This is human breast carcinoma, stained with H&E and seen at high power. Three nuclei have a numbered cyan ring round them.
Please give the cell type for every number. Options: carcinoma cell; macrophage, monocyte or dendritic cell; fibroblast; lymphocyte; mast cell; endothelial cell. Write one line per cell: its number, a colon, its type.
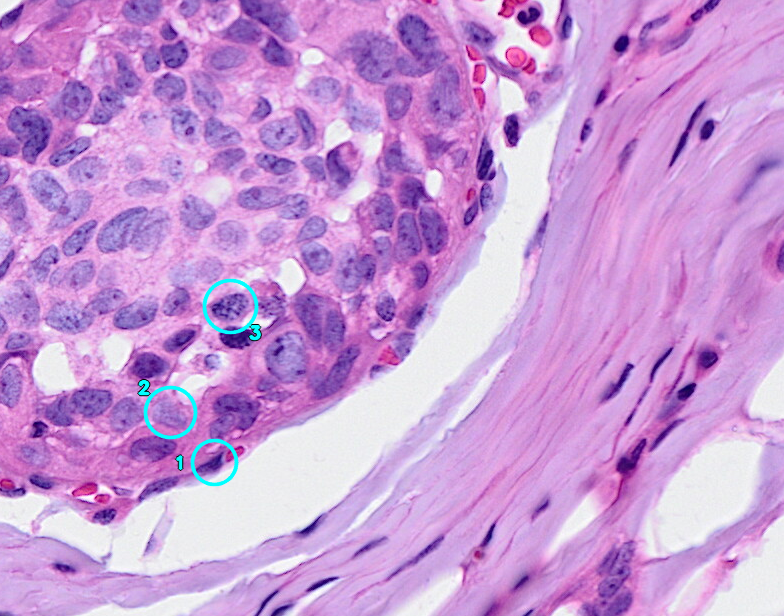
1: endothelial cell
2: carcinoma cell
3: carcinoma cell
